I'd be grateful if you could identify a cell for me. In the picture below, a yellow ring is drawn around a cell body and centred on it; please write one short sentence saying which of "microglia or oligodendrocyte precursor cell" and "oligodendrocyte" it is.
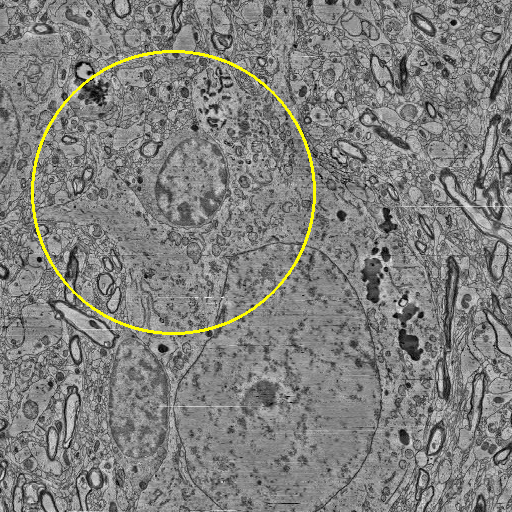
The cell under the ring's centre is an oligodendrocyte.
